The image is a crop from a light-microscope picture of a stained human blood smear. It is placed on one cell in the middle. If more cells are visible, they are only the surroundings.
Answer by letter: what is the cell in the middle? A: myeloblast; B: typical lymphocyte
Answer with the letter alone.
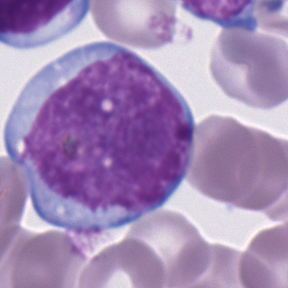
A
